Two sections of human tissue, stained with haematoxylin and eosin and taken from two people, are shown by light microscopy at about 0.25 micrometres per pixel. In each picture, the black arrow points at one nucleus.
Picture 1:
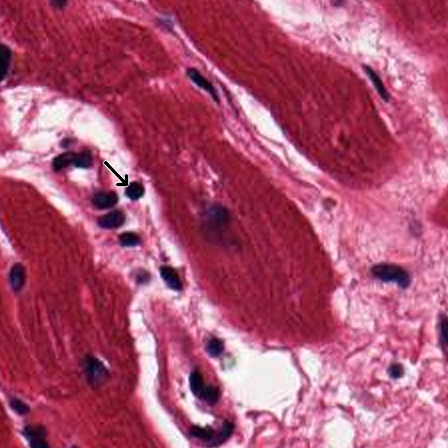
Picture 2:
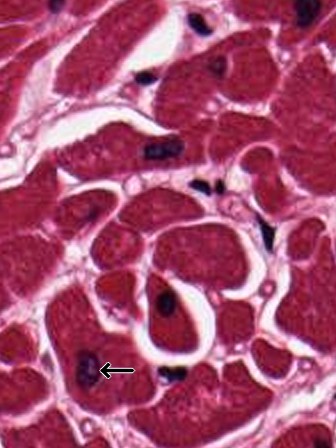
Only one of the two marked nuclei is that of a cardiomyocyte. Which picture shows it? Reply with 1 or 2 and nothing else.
2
